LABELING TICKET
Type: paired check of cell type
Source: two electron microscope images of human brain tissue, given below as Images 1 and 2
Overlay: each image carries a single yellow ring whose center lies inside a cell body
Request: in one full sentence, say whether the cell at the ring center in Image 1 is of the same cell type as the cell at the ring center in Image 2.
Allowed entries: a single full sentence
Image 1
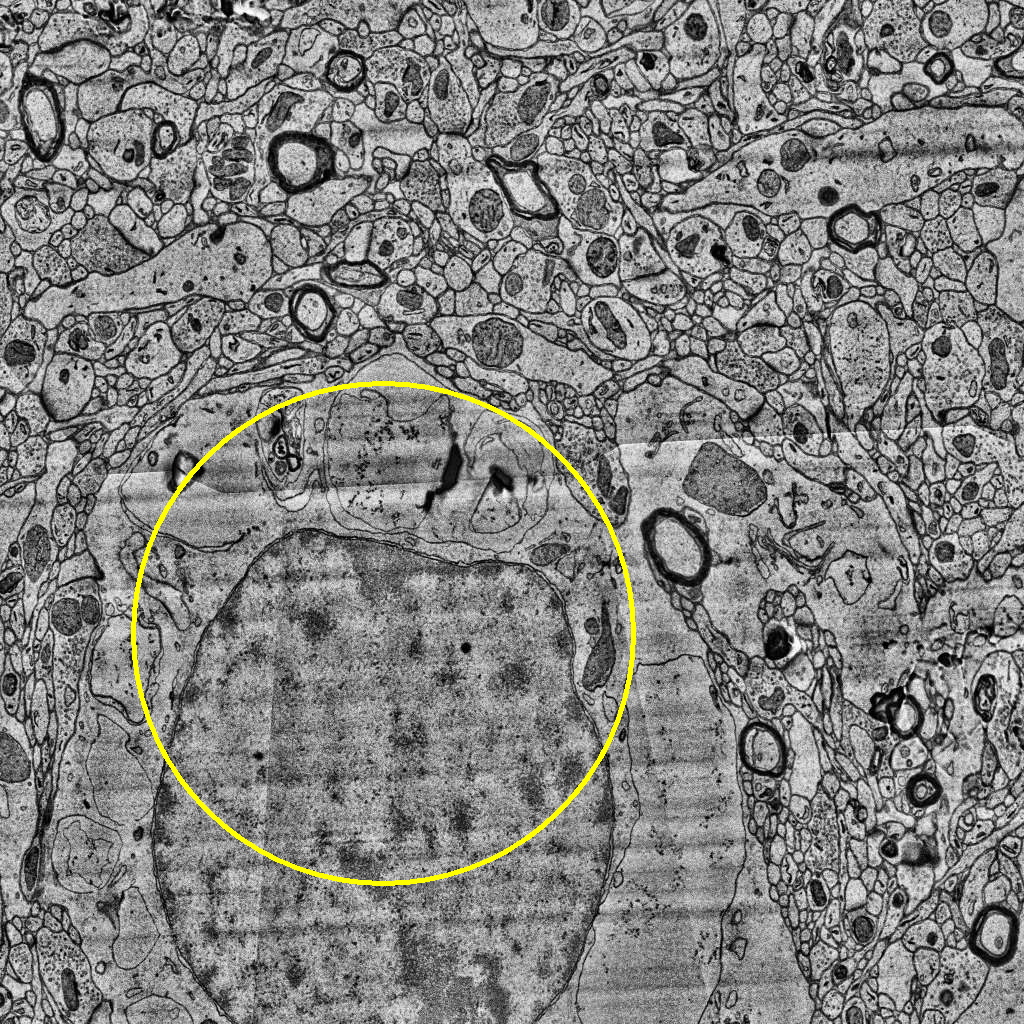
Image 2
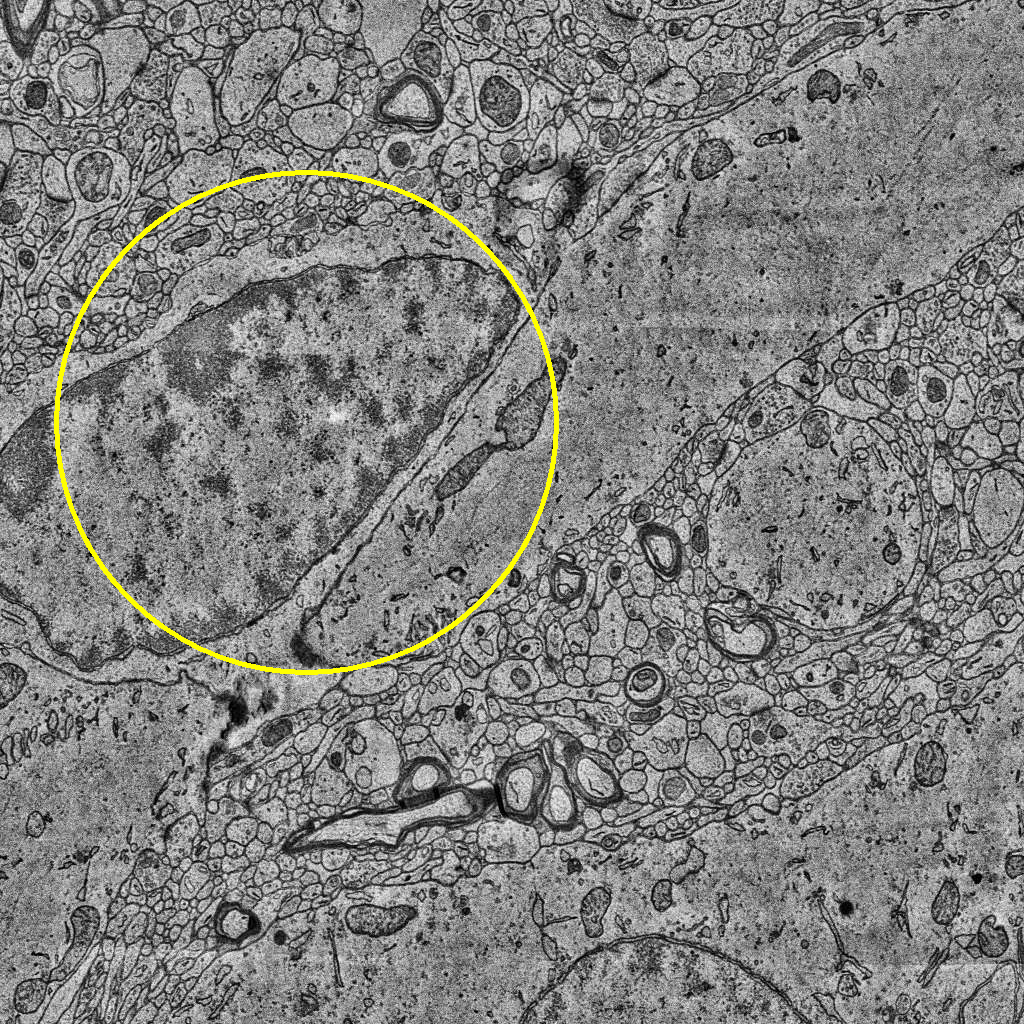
No, the cells at the ring centers of Image 1 and Image 2 are of two types.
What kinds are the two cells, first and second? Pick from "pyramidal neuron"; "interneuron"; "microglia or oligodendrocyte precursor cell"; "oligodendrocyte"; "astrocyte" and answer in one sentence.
Of the two, the first cell is an astrocyte and the second cell is a microglial cell or oligodendrocyte precursor cell.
